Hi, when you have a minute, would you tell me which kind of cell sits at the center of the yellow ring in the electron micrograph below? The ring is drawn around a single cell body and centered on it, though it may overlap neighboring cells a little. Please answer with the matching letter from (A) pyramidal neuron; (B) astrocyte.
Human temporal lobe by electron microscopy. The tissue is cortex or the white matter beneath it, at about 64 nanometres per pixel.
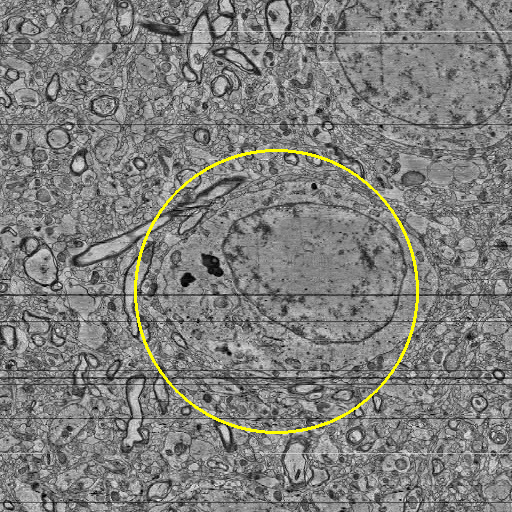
A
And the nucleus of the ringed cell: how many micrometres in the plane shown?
Approximately 12 micrometres long and 9 micrometres wide, in this plane.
